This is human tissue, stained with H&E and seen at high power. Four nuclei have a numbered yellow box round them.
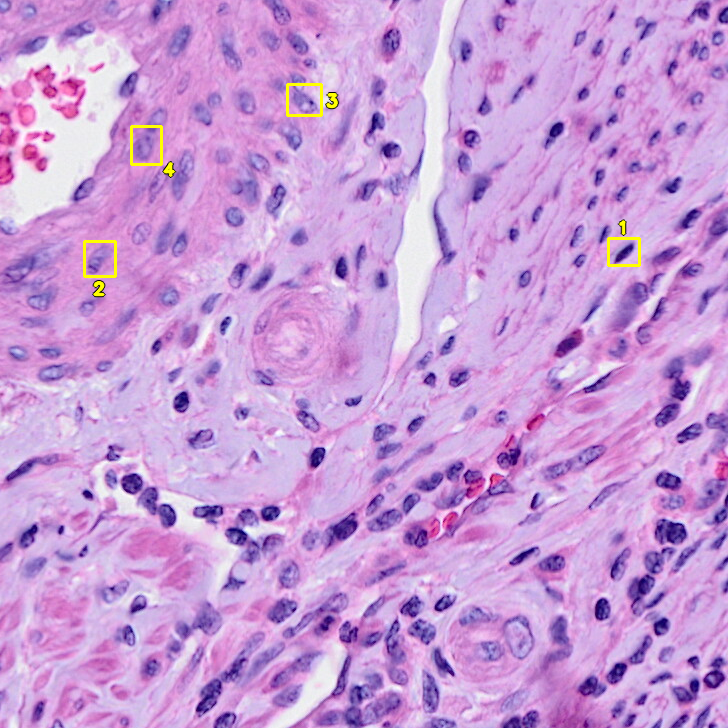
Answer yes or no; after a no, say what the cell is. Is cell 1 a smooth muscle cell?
No, it is a lymphocyte.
